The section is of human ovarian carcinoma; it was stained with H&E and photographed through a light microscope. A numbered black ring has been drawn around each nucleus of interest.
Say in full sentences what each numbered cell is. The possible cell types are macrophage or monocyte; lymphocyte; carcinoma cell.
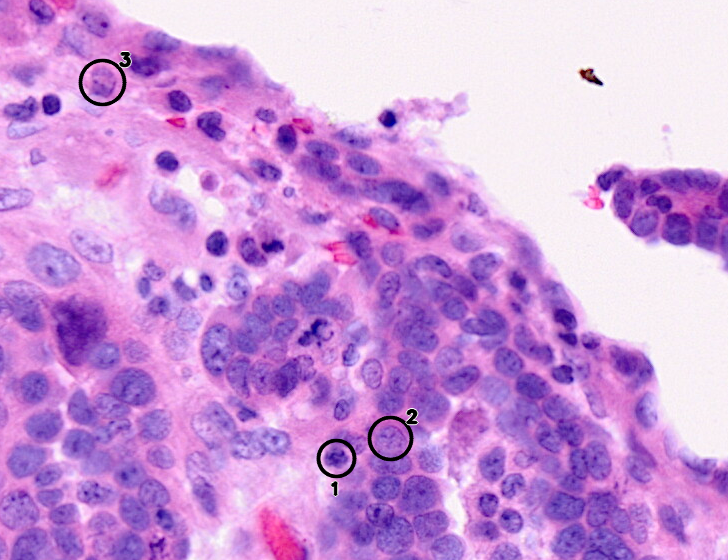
Cell 1 is a lymphocyte. Cell 2 is a carcinoma cell. Cell 3 is a macrophage or monocyte.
